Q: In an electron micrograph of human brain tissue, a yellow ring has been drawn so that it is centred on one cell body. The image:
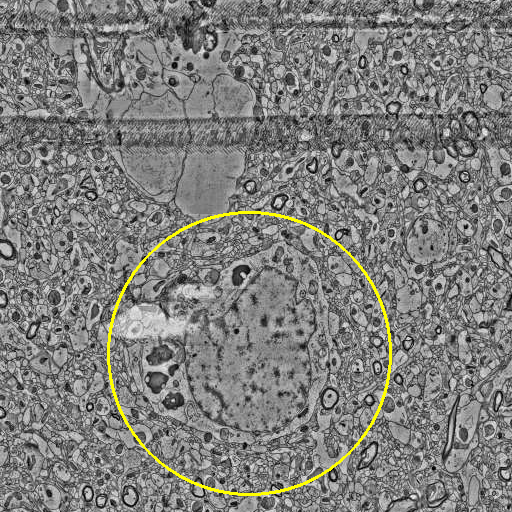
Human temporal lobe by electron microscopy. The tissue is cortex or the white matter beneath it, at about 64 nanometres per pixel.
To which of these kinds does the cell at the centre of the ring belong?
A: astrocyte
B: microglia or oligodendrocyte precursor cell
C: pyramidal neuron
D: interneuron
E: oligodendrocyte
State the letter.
D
